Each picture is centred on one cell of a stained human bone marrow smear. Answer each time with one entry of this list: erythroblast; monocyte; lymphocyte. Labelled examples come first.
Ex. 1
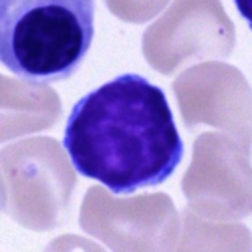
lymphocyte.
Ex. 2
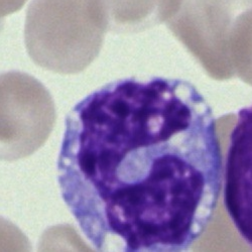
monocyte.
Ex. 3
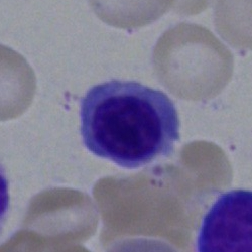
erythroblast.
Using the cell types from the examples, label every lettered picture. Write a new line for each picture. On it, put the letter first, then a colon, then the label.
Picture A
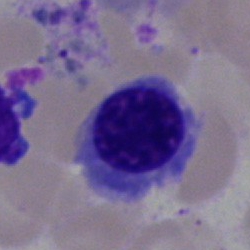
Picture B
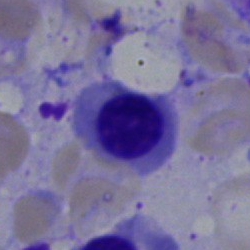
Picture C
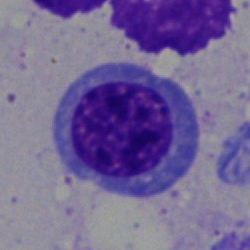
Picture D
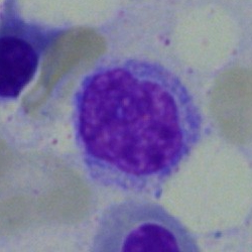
A: erythroblast.
B: erythroblast.
C: erythroblast.
D: monocyte.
